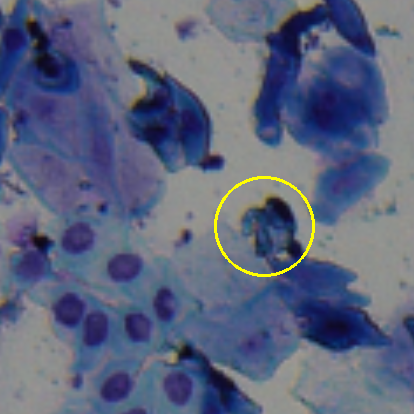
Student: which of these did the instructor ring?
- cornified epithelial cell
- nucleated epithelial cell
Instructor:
The cell I ringed is a cornified epithelial cell.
